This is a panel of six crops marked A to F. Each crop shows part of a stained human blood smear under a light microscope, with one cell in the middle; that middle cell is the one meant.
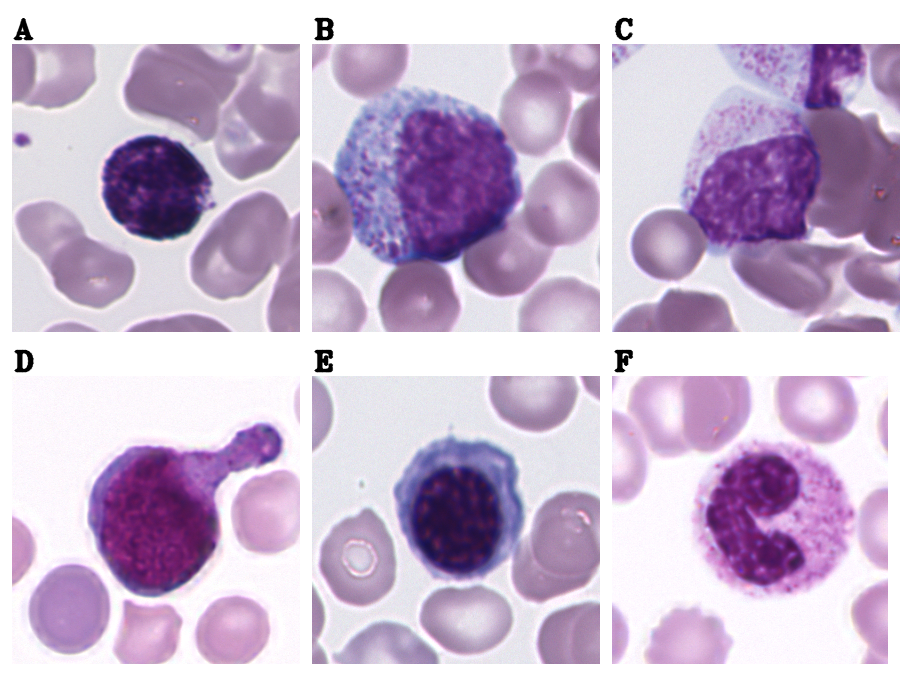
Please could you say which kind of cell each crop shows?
A: basophil
B: promyelocyte
C: myelocyte
D: atypical promyelocyte
E: normoblast
F: band neutrophil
